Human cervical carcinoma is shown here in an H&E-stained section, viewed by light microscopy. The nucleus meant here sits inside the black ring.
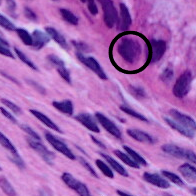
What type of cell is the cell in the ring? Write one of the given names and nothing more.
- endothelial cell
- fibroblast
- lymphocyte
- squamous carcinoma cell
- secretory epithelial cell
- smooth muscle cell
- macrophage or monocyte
secretory epithelial cell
